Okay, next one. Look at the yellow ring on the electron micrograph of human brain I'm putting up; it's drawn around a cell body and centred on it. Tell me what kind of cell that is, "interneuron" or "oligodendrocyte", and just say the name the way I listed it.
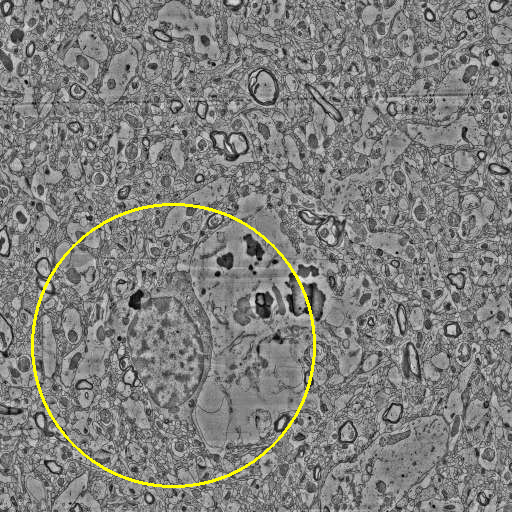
oligodendrocyte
